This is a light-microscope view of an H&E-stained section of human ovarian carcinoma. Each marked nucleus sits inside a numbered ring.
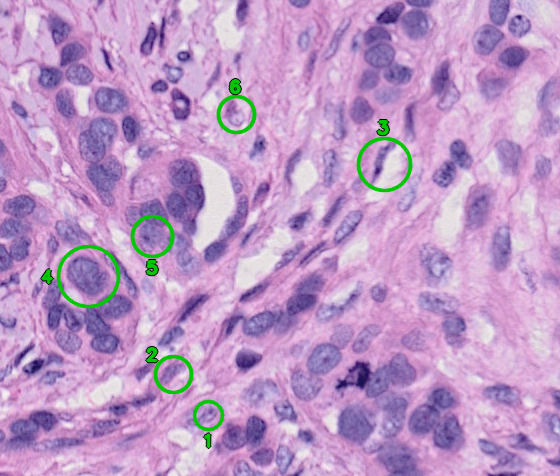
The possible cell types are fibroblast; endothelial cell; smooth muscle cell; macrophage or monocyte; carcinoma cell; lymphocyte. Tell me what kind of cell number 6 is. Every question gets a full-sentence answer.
The numbered cell 6 is identified here as a fibroblast.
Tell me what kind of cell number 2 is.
Here the cell numbered 2 is a fibroblast.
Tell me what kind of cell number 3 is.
The nucleus labeled 3 belongs to a fibroblast.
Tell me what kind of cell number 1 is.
Cell 1 of the marked set is a fibroblast.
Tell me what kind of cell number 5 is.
The cell numbered 5 represents a carcinoma cell.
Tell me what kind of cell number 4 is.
The one labeled 4 is a carcinoma cell, to put it simply.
